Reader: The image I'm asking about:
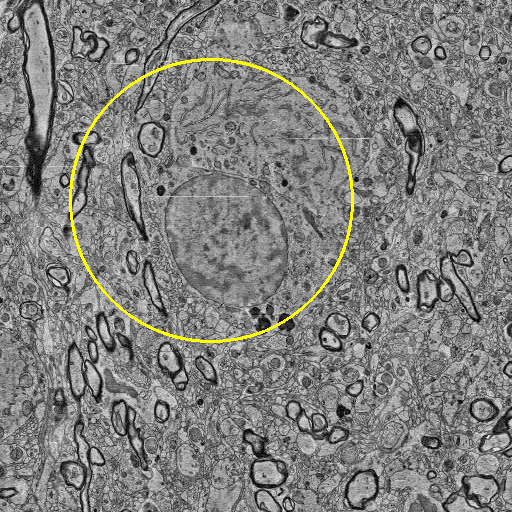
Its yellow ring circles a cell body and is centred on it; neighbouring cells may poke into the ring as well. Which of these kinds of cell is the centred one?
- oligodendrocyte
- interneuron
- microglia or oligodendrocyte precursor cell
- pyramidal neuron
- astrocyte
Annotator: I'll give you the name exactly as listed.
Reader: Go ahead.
oligodendrocyte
